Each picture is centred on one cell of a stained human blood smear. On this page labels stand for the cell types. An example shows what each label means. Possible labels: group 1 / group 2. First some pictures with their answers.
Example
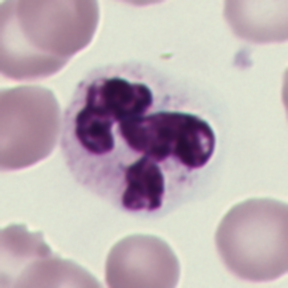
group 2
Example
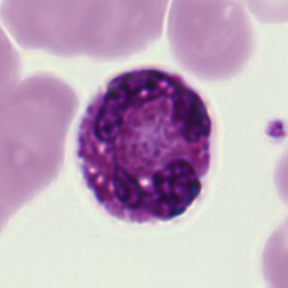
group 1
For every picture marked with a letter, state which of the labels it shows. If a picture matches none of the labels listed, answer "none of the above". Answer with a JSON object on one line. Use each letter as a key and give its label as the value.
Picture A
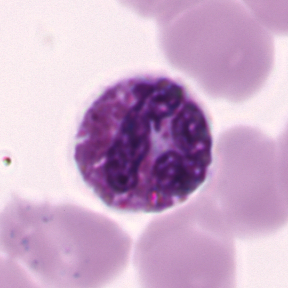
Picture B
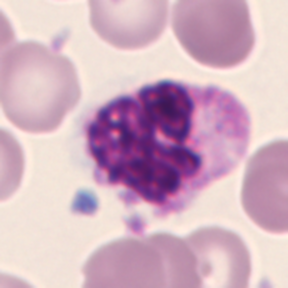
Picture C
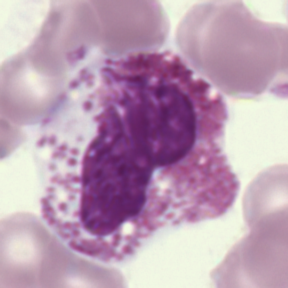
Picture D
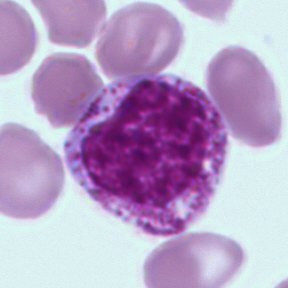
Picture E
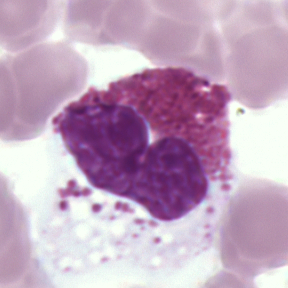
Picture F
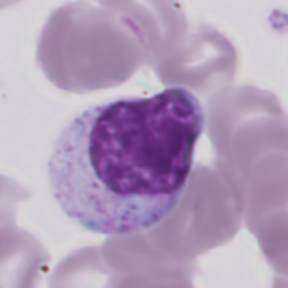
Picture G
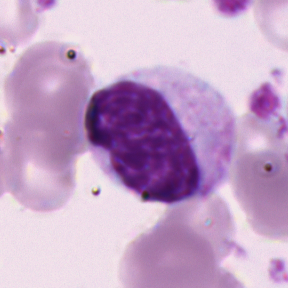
{"A": "group 1", "B": "group 2", "C": "group 1", "D": "none of the above", "E": "group 1", "F": "none of the above", "G": "none of the above"}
